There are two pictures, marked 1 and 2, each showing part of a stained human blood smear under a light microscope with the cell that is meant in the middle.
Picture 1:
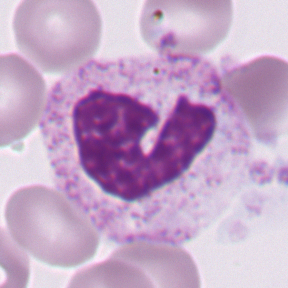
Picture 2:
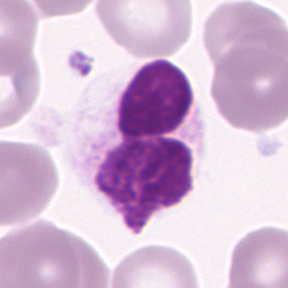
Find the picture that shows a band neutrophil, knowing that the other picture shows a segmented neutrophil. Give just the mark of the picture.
1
